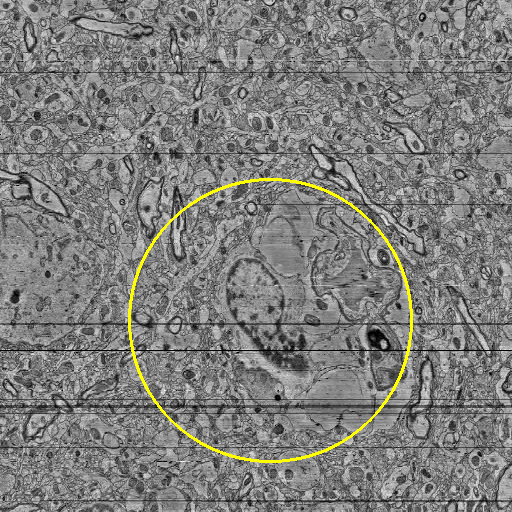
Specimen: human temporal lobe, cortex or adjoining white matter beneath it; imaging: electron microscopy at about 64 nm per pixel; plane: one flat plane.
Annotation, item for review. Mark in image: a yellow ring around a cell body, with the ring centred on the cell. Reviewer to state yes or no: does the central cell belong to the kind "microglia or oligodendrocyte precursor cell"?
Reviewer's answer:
yes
